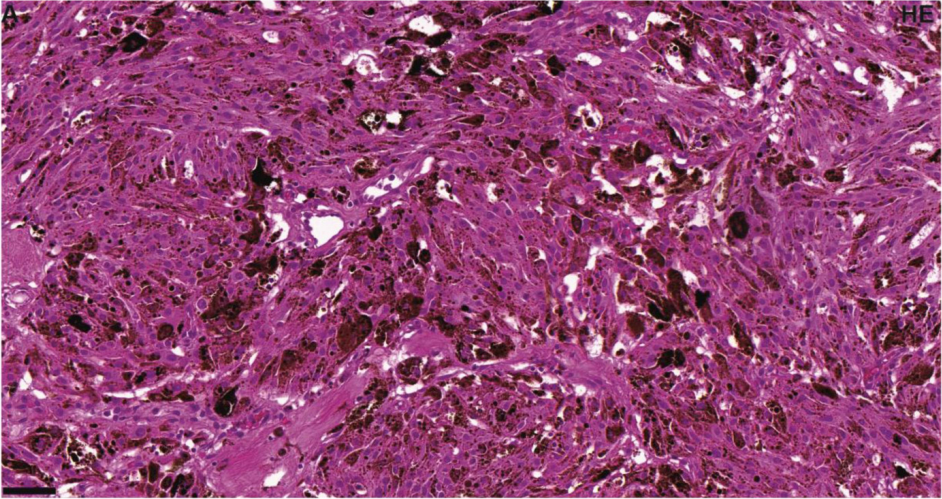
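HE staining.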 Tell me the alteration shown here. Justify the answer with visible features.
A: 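Many cells contain dense dark brown to black granular pigment. Pigment-laden cells are scattered throughout the whole field. That points to this answer: heavy melanotic pigmentation.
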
